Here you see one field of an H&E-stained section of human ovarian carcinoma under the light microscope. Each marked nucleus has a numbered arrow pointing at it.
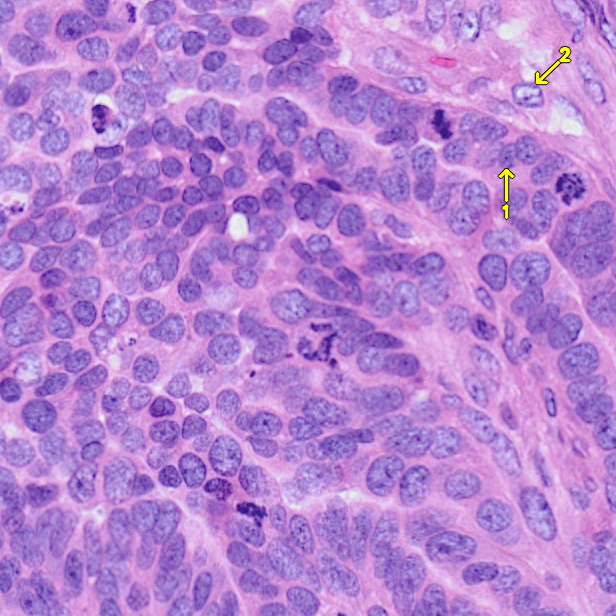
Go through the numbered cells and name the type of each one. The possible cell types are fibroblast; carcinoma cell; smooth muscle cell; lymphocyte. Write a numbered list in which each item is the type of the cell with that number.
1. carcinoma cell
2. fibroblast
